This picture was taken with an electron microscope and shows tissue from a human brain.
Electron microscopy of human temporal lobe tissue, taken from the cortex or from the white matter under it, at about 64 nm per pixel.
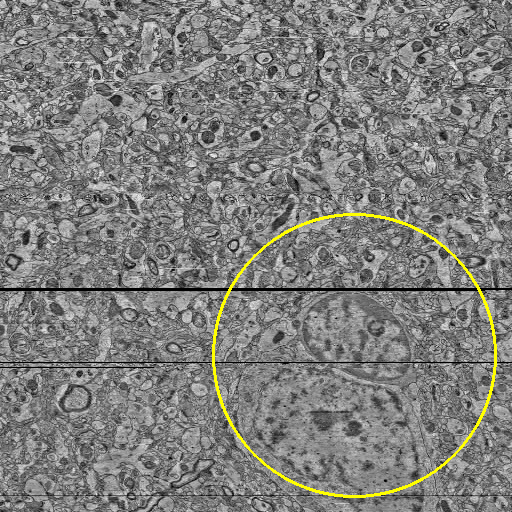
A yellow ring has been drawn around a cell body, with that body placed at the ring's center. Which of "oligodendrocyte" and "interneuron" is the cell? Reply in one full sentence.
In this picture, an oligodendrocyte is the cell at the center of the yellow ring.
